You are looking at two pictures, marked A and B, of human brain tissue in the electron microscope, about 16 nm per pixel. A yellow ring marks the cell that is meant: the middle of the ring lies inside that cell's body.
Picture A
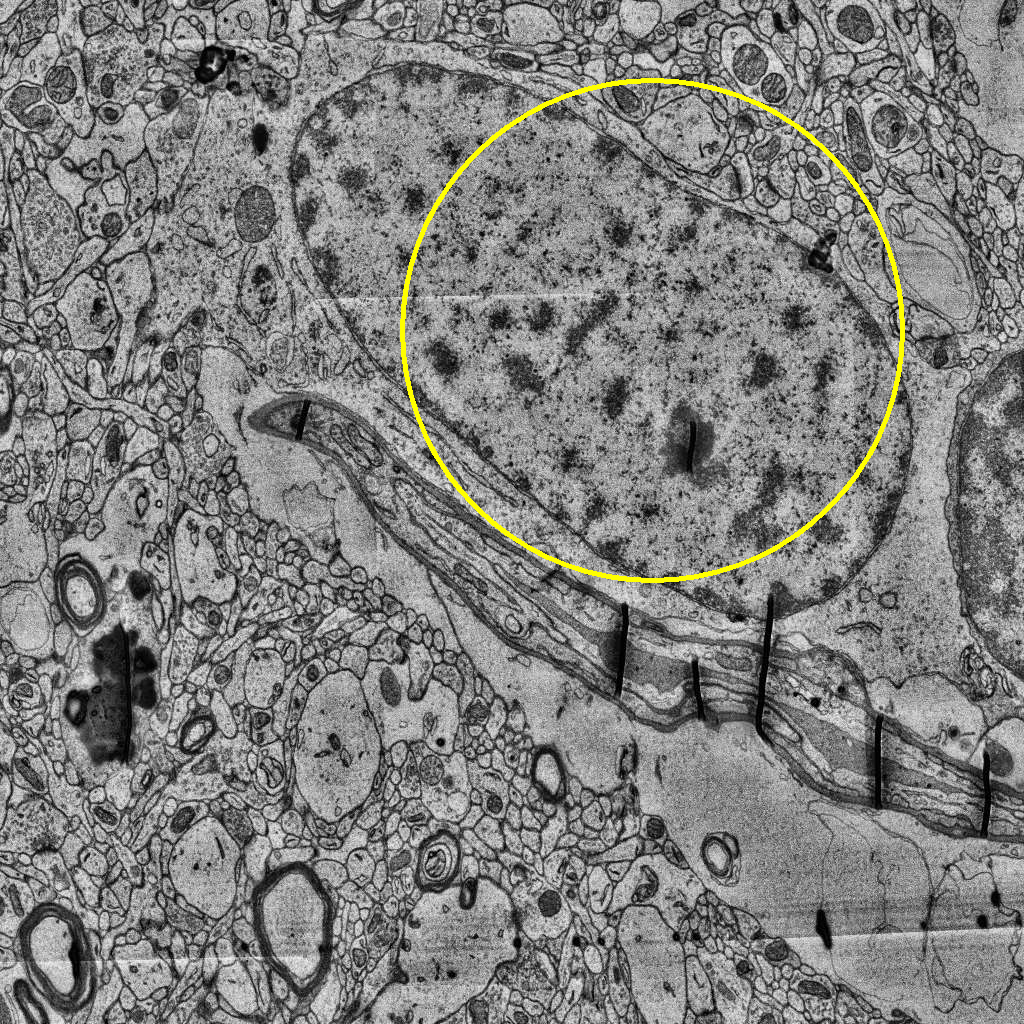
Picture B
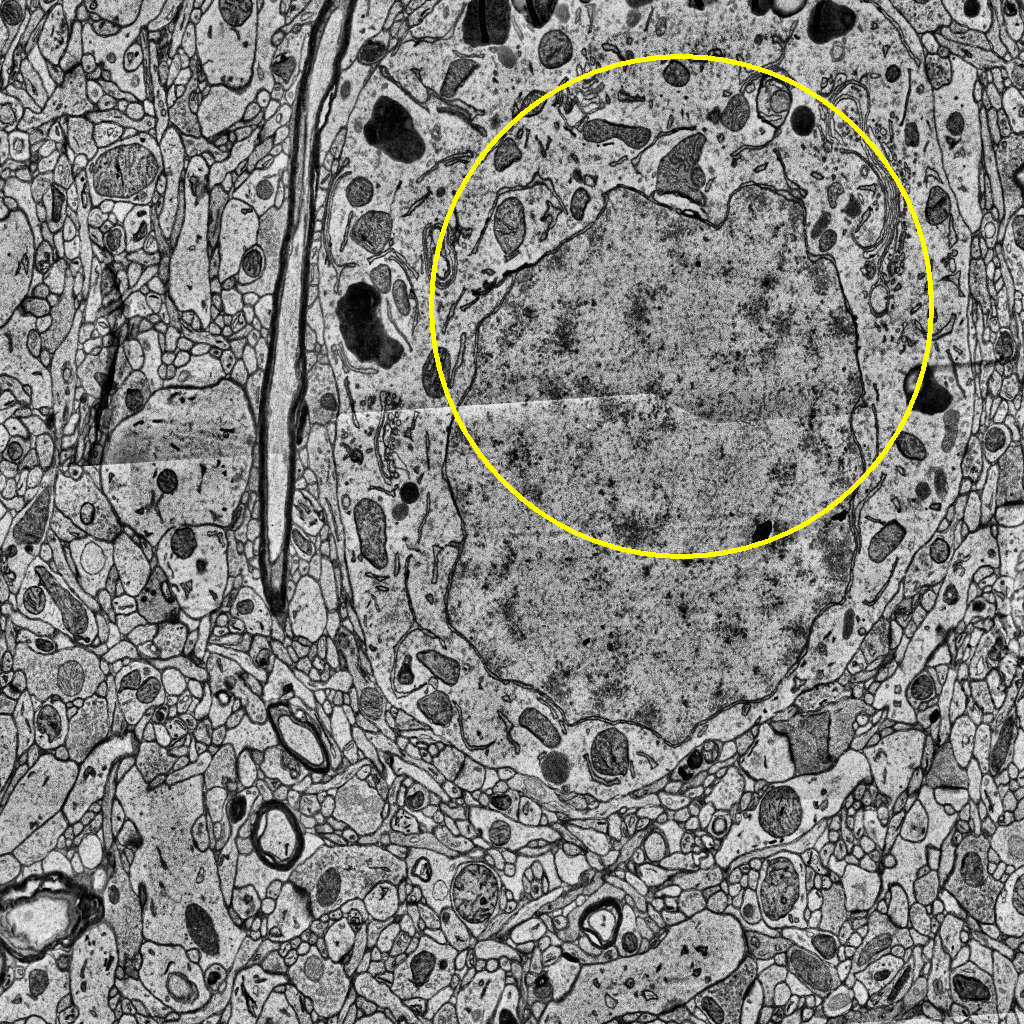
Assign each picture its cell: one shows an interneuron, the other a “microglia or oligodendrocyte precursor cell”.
It is picture A that shows a “microglia or oligodendrocyte precursor cell”, and picture B that shows an interneuron.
